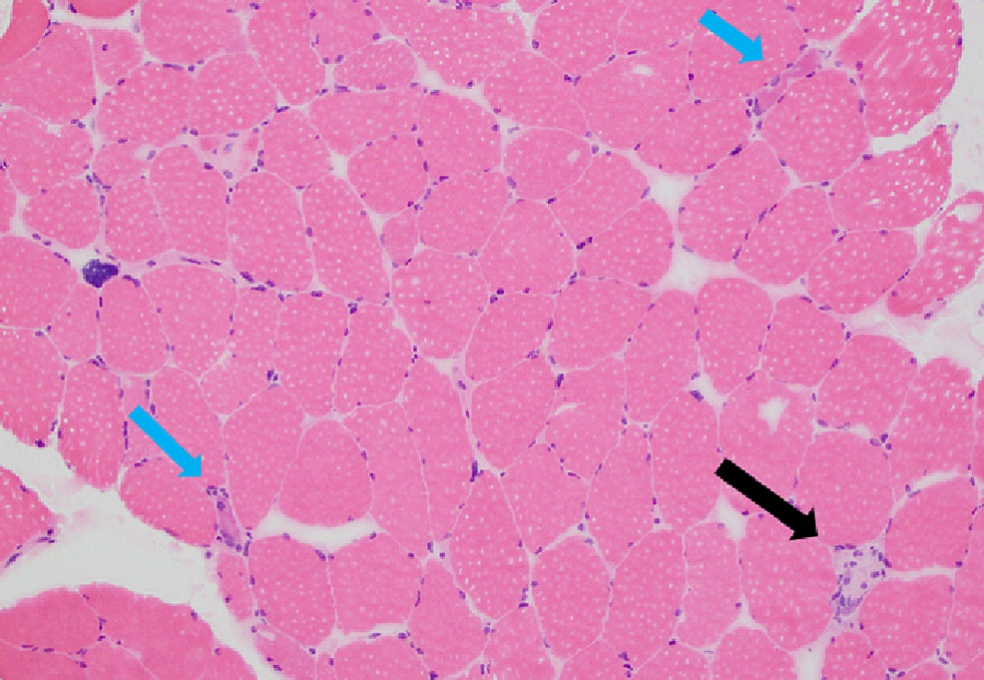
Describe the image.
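This is skeletal muscle cut in cross-section, made of closely packed polygonal muscle fibers with pink cytoplasm and small dark purple nuclei at their edges. The fibers vary moderately in size and are separated by thin strands of connective tissue, with no dense band of scar tissue and no large clusters of inflammatory cells. In one place a fiber has lost its even pink staining and is replaced by pale granular material with scattered purple nuclei, the picture of a necrotic fiber. Elsewhere, small fibers squeezed between the larger ones stain more purplish and hold nuclei, as regenerating fibers do.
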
